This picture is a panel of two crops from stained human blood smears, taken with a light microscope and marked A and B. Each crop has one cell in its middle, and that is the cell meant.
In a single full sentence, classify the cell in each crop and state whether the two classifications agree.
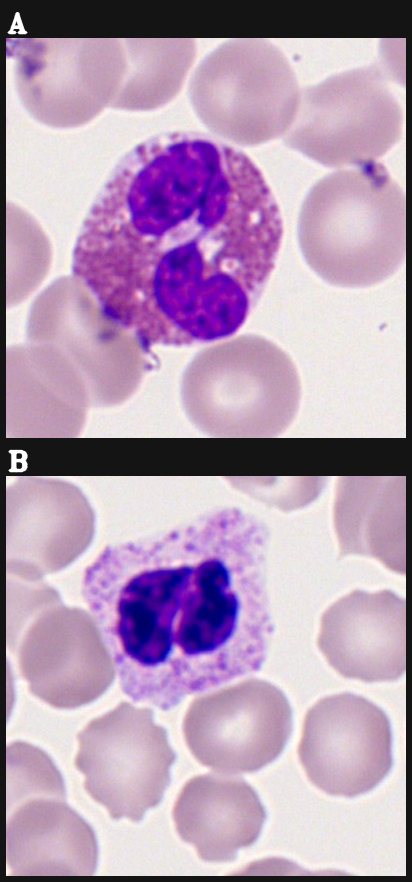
No, mark crop A as an eosinophil and crop B as a segmented neutrophil.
